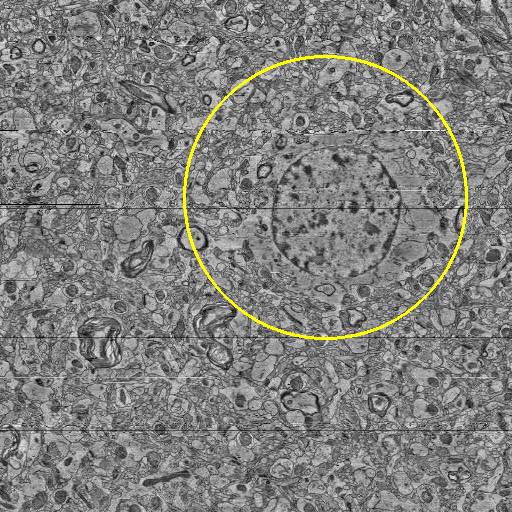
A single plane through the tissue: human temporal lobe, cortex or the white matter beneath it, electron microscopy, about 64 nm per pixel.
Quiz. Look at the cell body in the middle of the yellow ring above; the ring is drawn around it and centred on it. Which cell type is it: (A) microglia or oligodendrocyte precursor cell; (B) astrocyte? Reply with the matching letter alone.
B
